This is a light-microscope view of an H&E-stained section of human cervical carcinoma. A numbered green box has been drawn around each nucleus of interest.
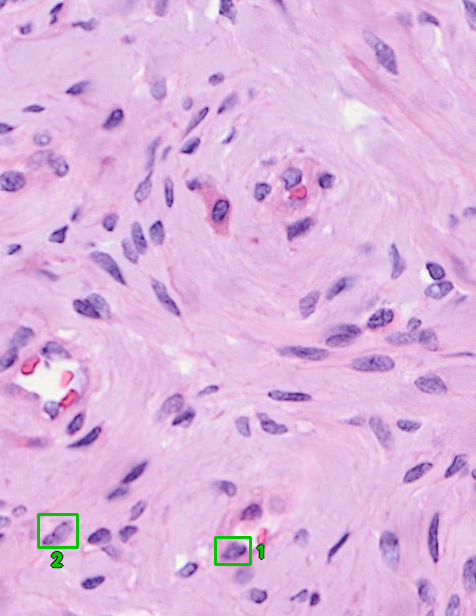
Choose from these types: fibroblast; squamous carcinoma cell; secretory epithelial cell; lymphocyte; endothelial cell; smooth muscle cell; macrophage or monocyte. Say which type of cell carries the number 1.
endothelial cell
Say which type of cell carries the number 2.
fibroblast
